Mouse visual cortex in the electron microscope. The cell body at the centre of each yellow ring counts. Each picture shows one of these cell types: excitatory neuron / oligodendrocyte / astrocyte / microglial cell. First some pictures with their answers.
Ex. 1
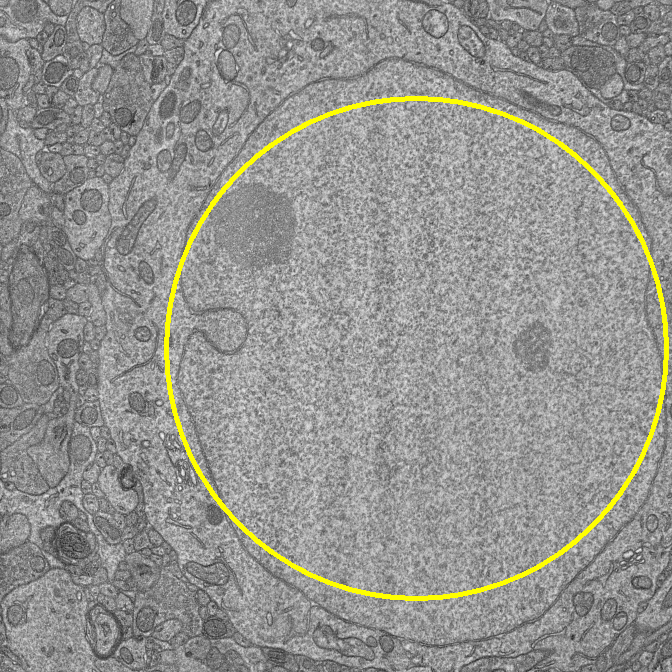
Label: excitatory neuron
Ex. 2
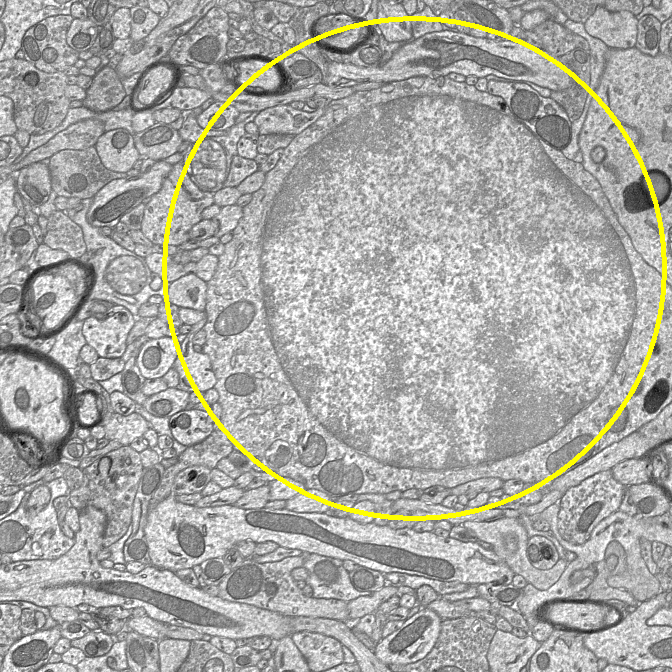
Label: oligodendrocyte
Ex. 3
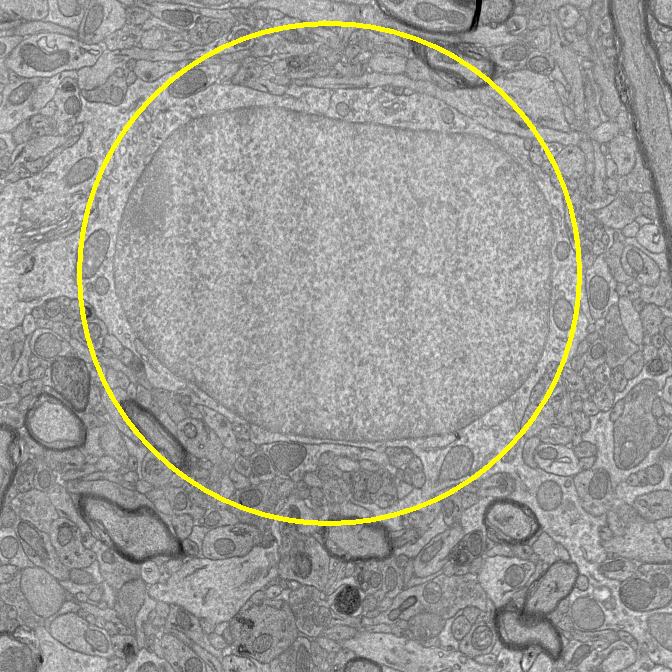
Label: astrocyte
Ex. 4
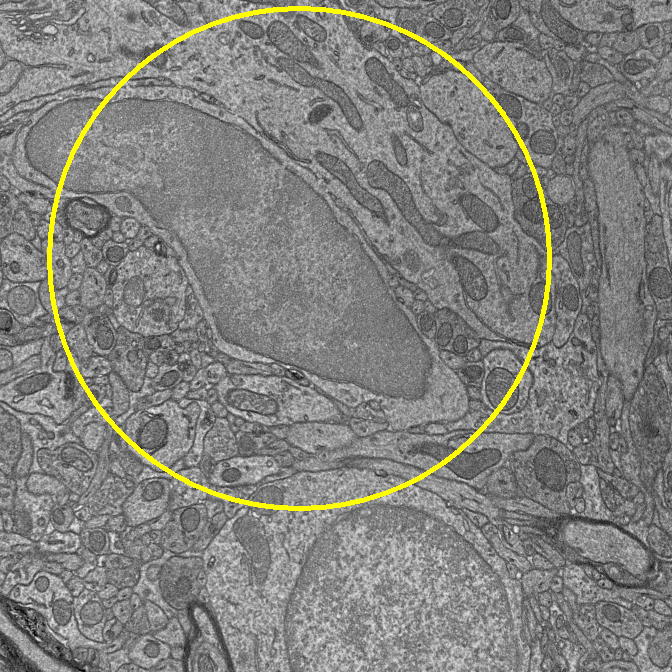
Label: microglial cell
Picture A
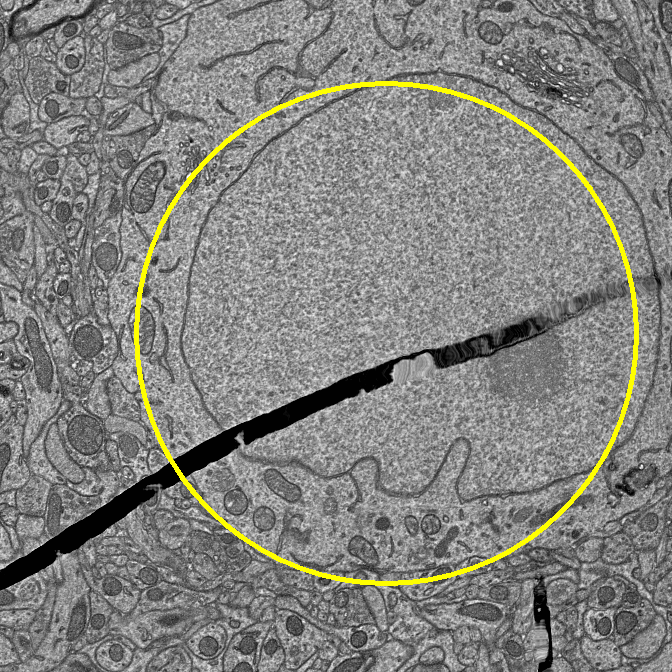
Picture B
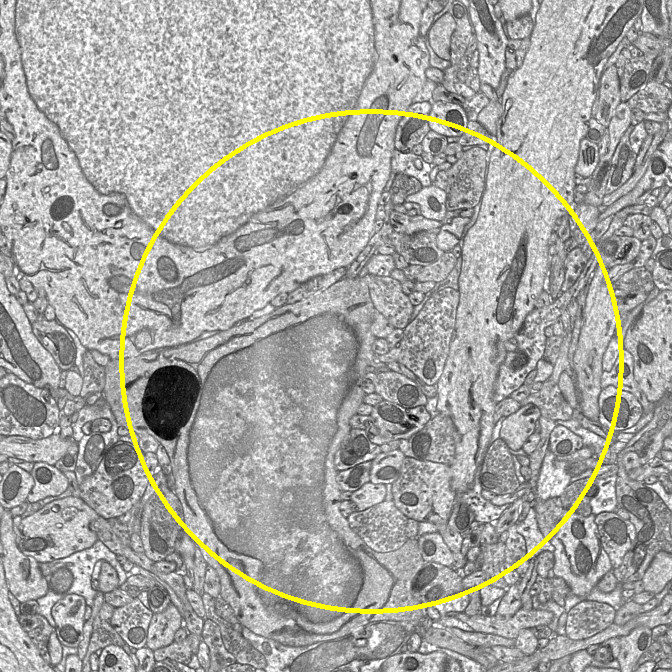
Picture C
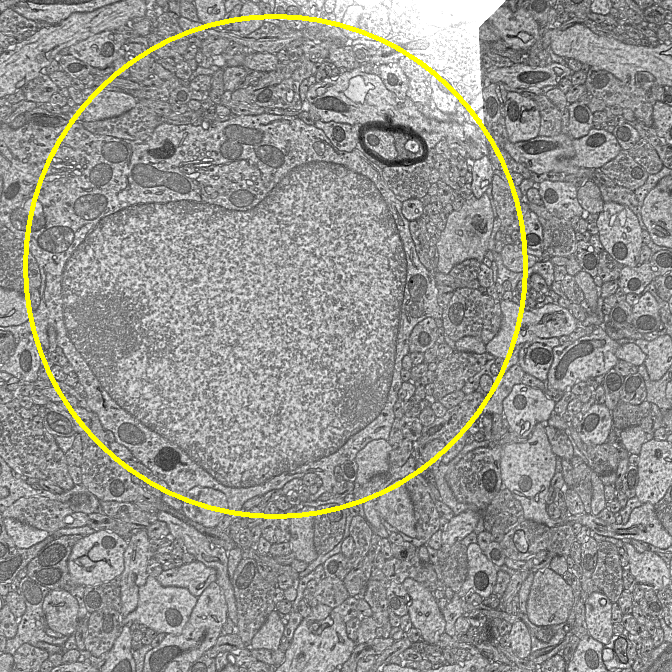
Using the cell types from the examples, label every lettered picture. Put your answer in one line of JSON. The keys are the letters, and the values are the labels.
{"A": "excitatory neuron", "B": "microglial cell", "C": "astrocyte"}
